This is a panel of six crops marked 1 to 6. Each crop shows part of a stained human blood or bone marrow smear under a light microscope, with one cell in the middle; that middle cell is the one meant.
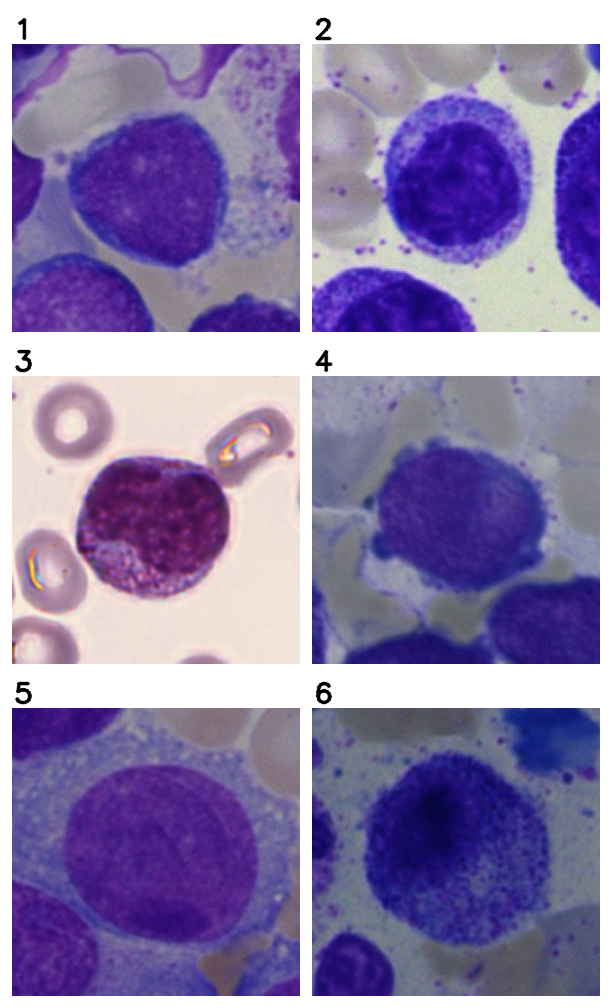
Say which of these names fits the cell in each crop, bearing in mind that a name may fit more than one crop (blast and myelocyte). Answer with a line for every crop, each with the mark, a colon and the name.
1: blast
2: myelocyte
3: myelocyte
4: blast
5: blast
6: myelocyte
